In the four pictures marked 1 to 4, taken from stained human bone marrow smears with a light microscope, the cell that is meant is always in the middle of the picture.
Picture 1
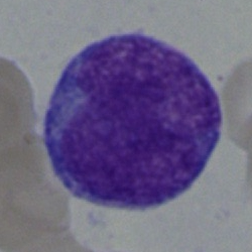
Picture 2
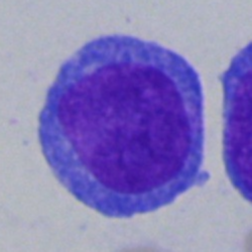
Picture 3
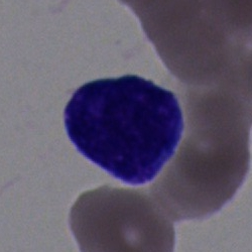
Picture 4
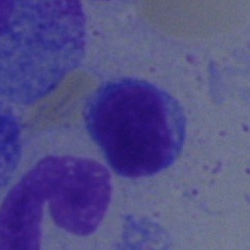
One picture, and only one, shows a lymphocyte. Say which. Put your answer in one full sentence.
It is picture 4 that shows the lymphocyte.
